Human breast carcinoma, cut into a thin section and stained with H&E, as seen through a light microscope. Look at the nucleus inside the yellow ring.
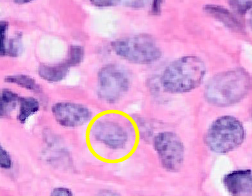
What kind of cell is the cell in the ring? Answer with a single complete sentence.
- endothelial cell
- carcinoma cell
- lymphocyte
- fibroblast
Typologically, the cell in the ring is a carcinoma cell in this section.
